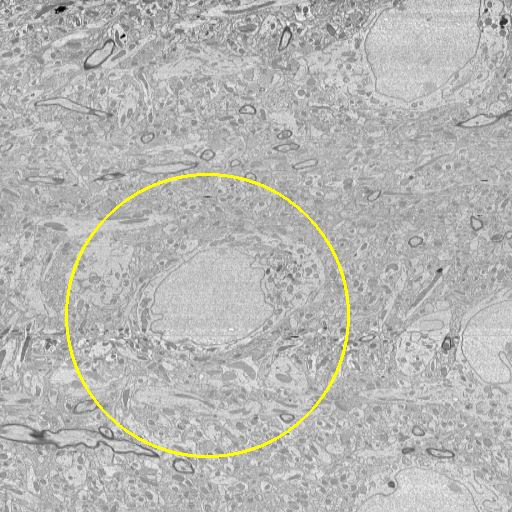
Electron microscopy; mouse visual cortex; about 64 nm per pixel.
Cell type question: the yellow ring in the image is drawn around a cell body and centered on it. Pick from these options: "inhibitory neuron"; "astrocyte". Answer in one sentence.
The ringed cell at the center is an inhibitory neuron.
